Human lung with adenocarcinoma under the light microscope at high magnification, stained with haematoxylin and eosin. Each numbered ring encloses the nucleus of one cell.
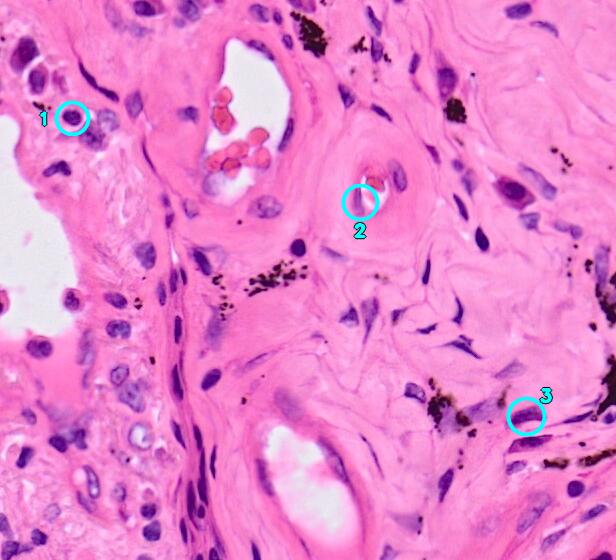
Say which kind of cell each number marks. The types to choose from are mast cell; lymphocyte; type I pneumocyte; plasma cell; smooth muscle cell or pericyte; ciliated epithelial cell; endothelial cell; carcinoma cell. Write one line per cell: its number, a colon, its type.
1: lymphocyte
2: endothelial cell
3: plasma cell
